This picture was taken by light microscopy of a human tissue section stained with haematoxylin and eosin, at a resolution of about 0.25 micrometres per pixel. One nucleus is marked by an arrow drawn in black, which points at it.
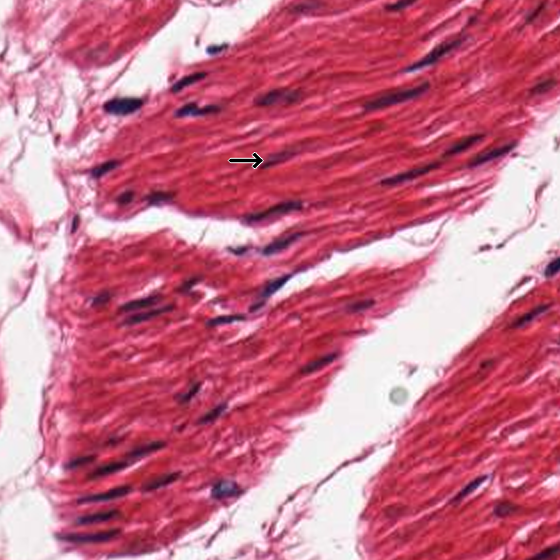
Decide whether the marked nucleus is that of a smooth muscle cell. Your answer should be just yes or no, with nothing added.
yes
